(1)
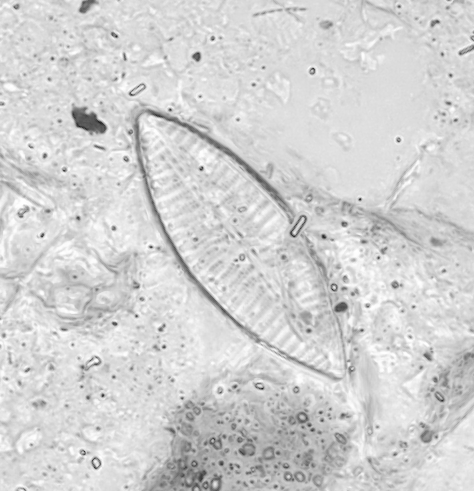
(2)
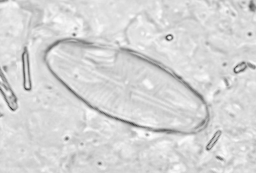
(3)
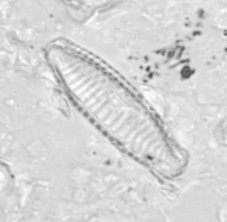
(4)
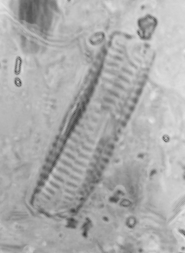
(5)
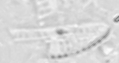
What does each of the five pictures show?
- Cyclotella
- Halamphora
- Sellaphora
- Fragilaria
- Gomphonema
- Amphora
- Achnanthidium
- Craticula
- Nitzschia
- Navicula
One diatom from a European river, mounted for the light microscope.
Picture 1: Navicula
Picture 2: Sellaphora
Picture 3: Fragilaria
Picture 4: Gomphonema
Picture 5: Amphora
